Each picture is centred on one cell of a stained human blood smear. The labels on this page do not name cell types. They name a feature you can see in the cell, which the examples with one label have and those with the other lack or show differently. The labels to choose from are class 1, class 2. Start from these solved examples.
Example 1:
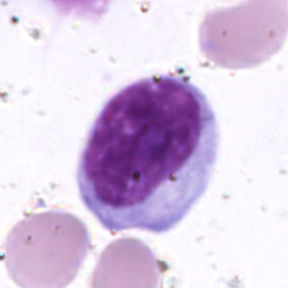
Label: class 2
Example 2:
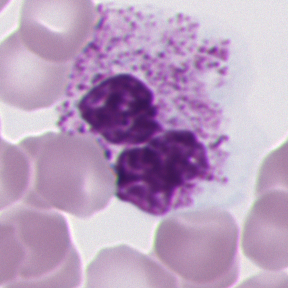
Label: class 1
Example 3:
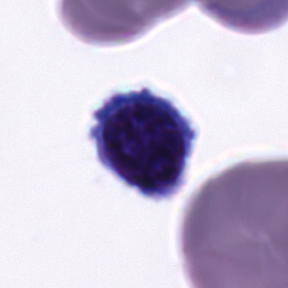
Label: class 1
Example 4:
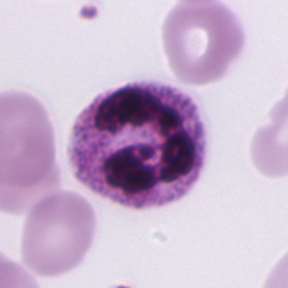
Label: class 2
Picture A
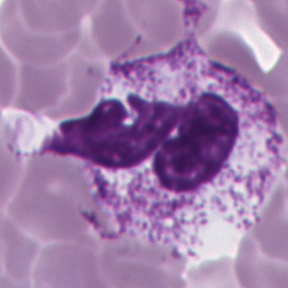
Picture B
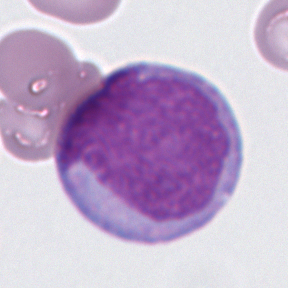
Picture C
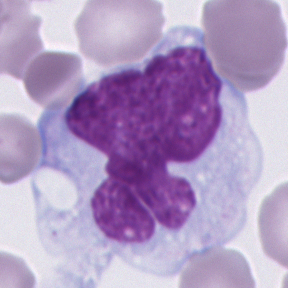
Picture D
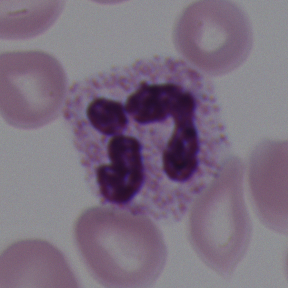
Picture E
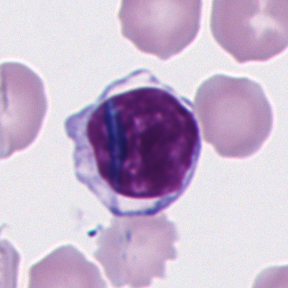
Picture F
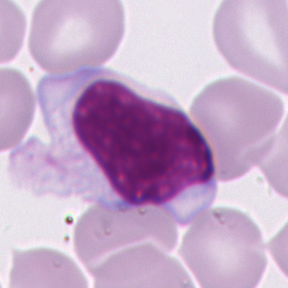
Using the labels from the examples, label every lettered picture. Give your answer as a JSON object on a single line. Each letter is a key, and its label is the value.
{"A": "class 1", "B": "class 2", "C": "class 1", "D": "class 1", "E": "class 1", "F": "class 1"}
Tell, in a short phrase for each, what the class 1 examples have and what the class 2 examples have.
class 1: ragged outline or projections; class 2: smooth outline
